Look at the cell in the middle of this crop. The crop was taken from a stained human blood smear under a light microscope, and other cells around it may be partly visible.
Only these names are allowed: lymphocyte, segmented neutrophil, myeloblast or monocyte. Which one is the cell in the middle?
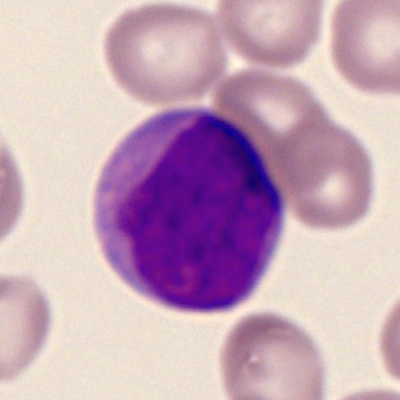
myeloblast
